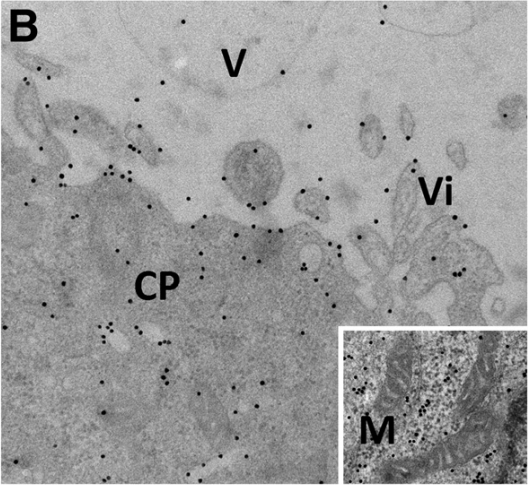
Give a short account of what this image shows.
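This is the apical part of a choroid plexus epithelial cell bordering the ventricle. Mitochondria with cristae are faintly visible within the cytoplasm. Many black dots of label are scattered over the cytoplasm, and many also lie along the cell surface, on the projections and in the ventricular space. The inset shows elongated mitochondria with clear cristae, with numerous black dots in the surrounding cytoplasm.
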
